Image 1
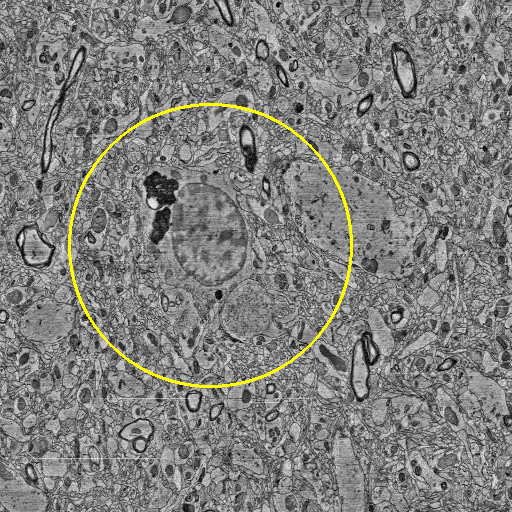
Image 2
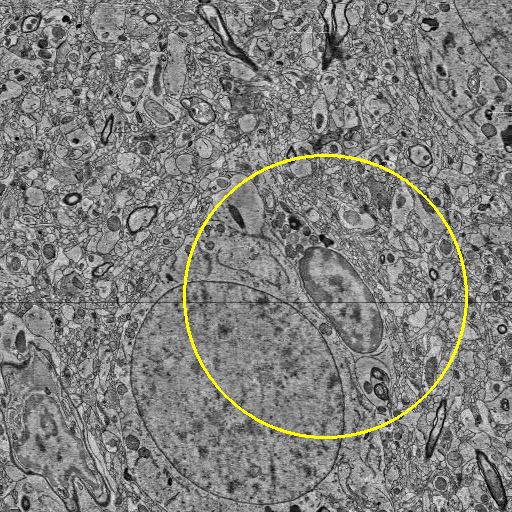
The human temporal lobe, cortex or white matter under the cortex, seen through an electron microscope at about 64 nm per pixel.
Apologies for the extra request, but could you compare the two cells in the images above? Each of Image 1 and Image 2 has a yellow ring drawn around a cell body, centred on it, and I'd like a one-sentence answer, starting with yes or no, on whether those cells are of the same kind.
No, the two cells are of two kinds.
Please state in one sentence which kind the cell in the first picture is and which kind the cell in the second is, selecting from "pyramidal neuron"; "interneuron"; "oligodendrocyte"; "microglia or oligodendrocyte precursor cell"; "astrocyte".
The first ringed cell is an oligodendrocyte, the second ringed cell a microglial cell or oligodendrocyte precursor cell.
